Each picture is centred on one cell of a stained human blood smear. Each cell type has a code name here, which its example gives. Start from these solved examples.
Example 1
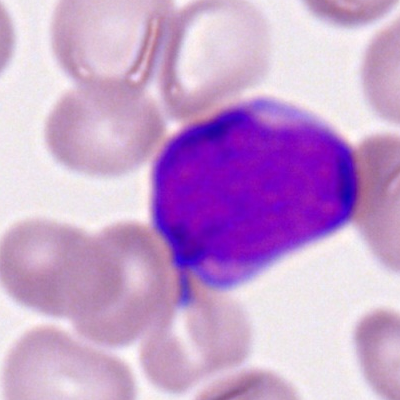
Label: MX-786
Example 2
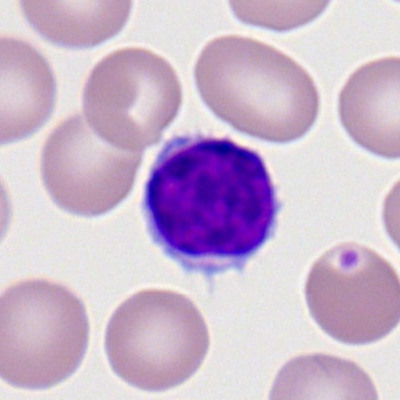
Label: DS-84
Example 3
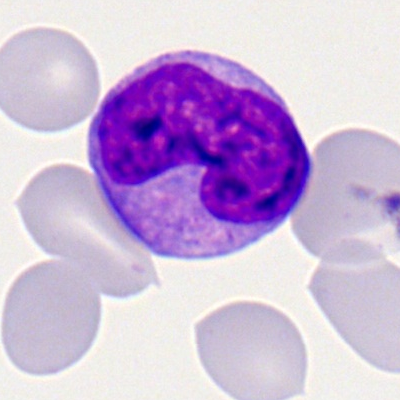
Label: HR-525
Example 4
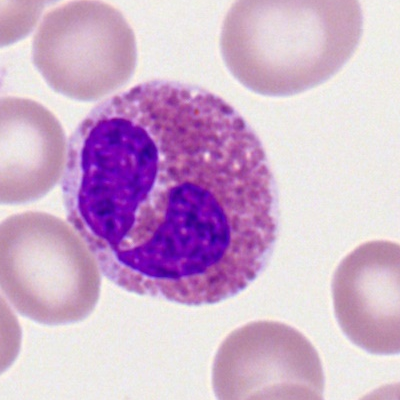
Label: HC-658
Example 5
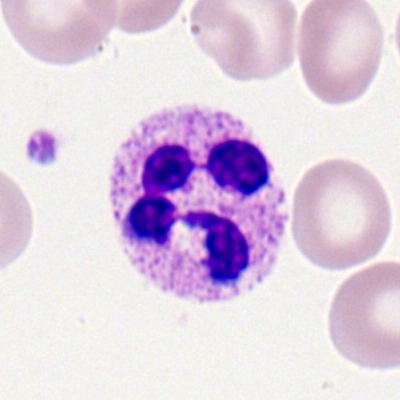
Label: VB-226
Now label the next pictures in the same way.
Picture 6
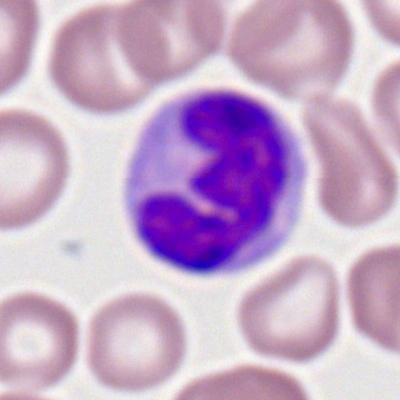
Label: HR-525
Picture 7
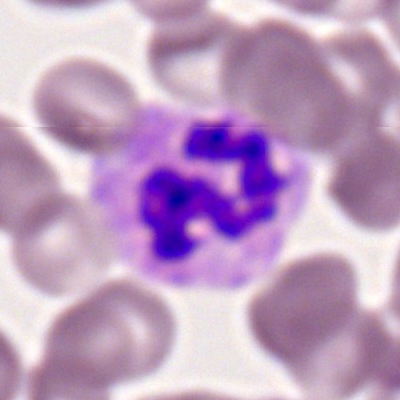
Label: VB-226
